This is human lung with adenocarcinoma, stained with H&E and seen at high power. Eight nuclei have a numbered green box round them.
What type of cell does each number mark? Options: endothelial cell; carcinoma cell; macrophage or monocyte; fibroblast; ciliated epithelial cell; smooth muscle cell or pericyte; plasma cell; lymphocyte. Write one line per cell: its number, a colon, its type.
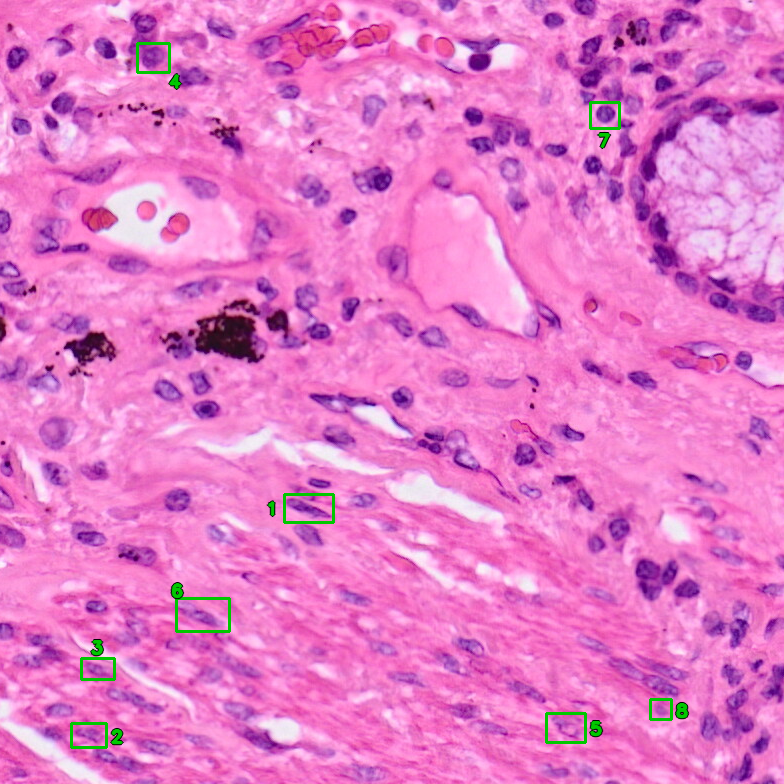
1: fibroblast
2: smooth muscle cell or pericyte
3: smooth muscle cell or pericyte
4: plasma cell
5: smooth muscle cell or pericyte
6: smooth muscle cell or pericyte
7: lymphocyte
8: smooth muscle cell or pericyte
